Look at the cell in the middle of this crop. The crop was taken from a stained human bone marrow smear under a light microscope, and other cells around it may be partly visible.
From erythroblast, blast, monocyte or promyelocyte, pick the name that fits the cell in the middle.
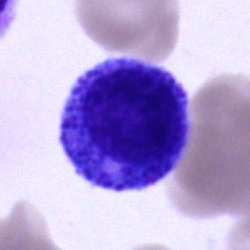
promyelocyte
